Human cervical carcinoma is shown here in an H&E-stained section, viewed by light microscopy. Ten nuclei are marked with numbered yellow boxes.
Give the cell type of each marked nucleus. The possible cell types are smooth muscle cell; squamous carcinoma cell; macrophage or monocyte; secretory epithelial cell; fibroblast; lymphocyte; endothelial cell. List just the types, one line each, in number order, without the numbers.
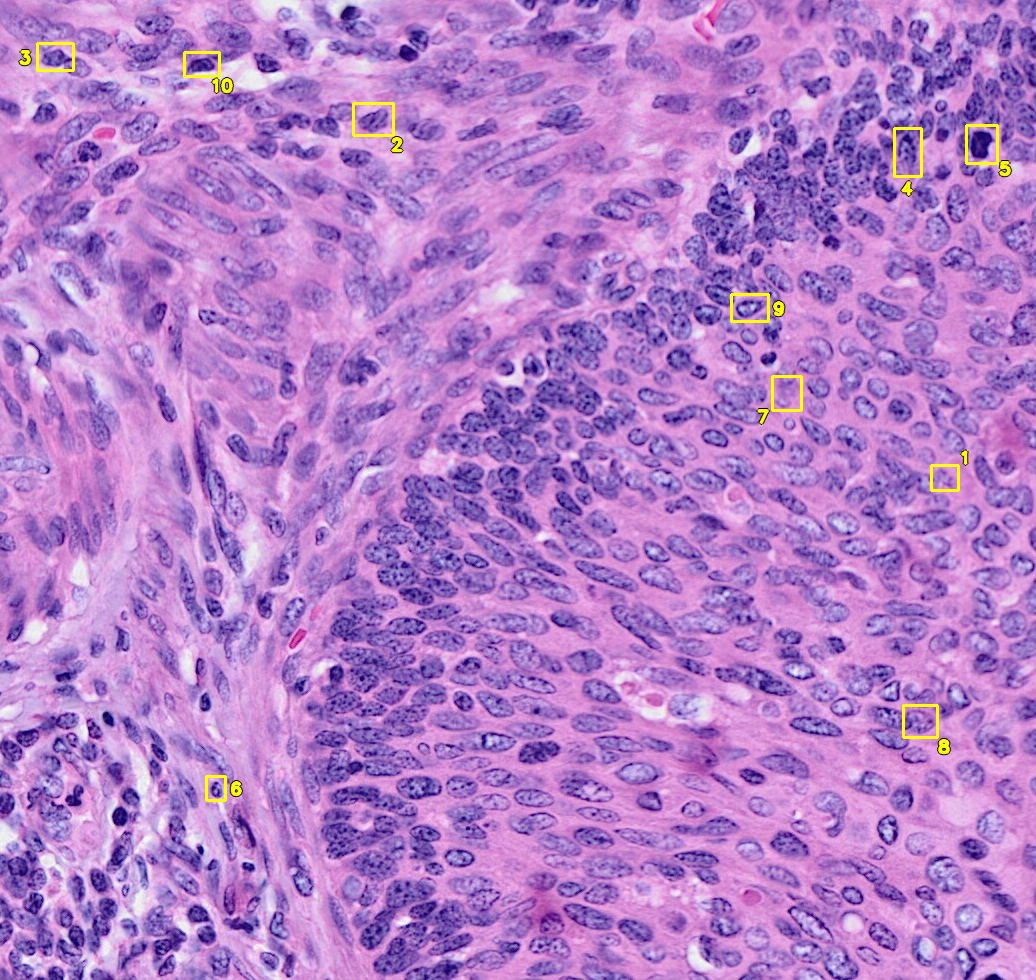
squamous carcinoma cell
lymphocyte
lymphocyte
squamous carcinoma cell
squamous carcinoma cell
lymphocyte
squamous carcinoma cell
squamous carcinoma cell
squamous carcinoma cell
lymphocyte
